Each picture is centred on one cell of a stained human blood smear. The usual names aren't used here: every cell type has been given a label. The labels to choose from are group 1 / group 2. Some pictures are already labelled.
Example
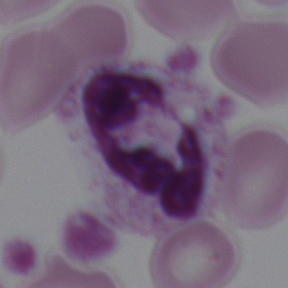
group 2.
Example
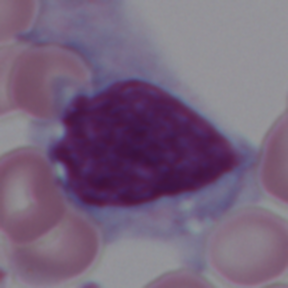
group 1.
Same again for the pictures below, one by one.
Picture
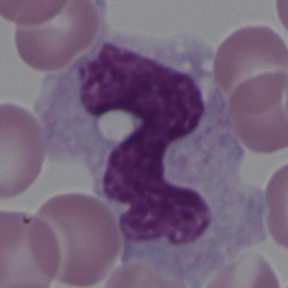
group 1.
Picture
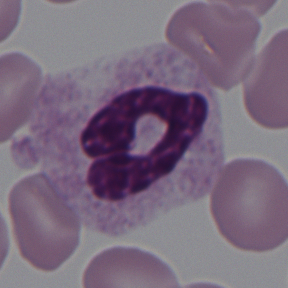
group 2.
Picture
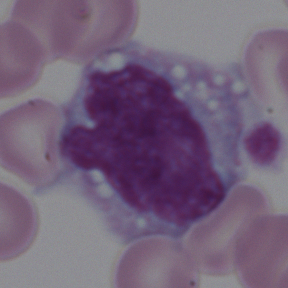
group 1.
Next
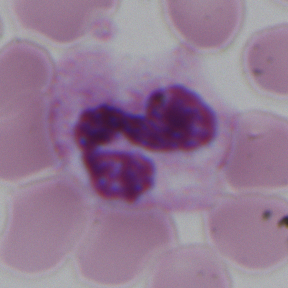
group 2.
